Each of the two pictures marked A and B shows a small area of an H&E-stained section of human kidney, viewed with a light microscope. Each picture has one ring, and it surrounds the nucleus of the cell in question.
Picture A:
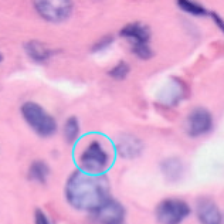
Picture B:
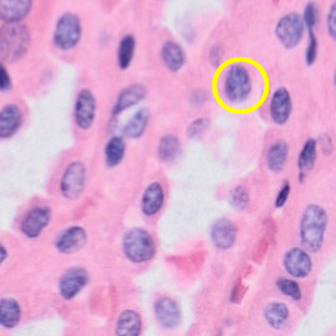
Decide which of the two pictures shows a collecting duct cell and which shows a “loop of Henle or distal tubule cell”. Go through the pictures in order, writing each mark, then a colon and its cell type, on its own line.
A: collecting duct cell
B: loop of Henle or distal tubule cell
